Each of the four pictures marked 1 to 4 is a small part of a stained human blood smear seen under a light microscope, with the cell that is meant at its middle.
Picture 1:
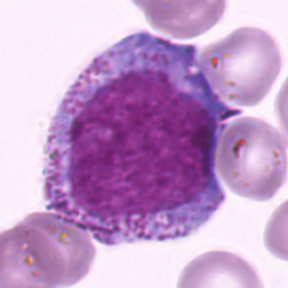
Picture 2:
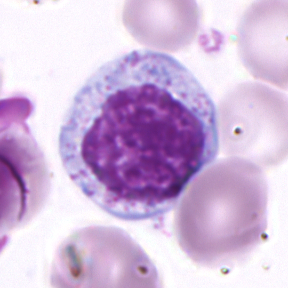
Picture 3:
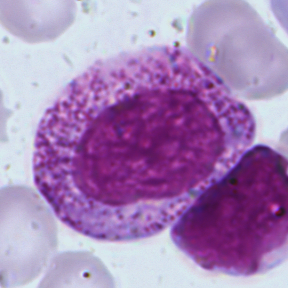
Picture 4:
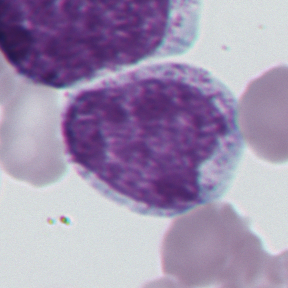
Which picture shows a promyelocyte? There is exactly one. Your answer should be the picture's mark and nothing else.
1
